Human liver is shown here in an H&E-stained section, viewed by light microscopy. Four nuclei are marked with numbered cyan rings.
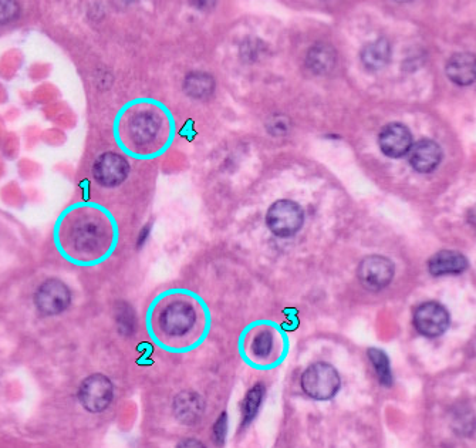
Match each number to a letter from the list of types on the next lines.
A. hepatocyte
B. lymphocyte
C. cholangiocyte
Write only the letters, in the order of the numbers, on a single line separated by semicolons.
A; A; B; A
